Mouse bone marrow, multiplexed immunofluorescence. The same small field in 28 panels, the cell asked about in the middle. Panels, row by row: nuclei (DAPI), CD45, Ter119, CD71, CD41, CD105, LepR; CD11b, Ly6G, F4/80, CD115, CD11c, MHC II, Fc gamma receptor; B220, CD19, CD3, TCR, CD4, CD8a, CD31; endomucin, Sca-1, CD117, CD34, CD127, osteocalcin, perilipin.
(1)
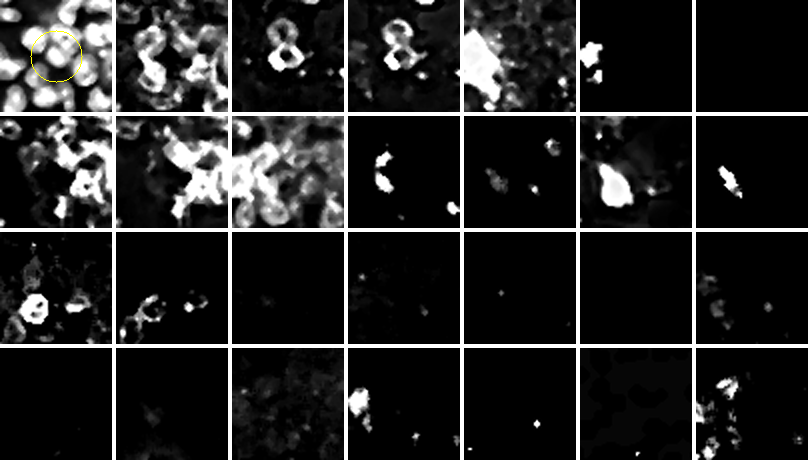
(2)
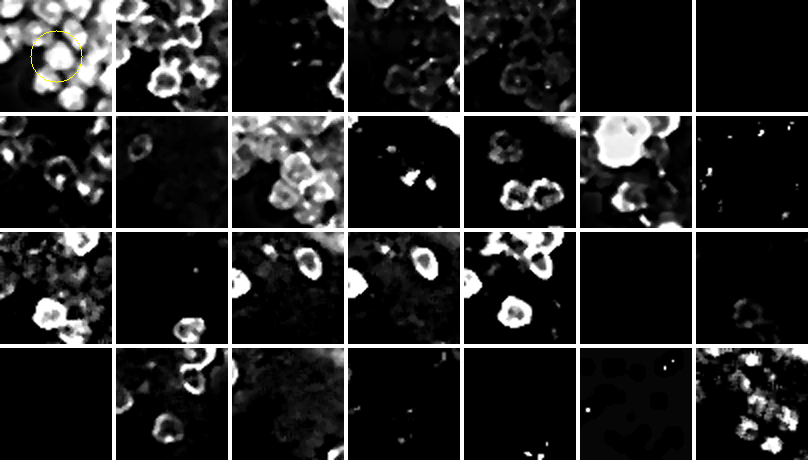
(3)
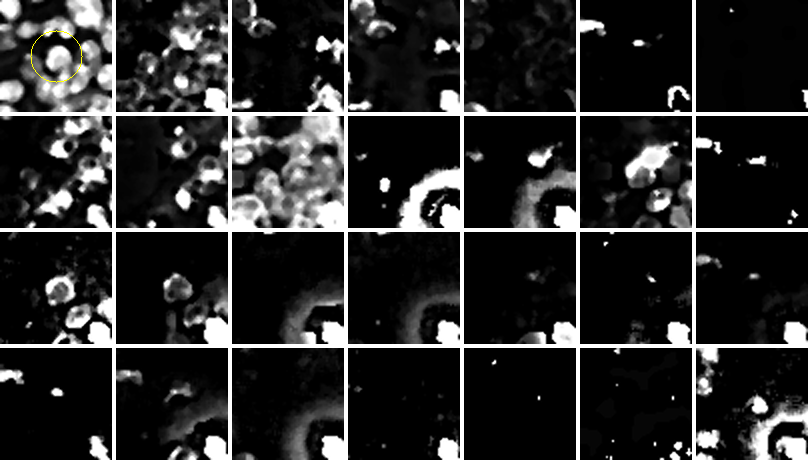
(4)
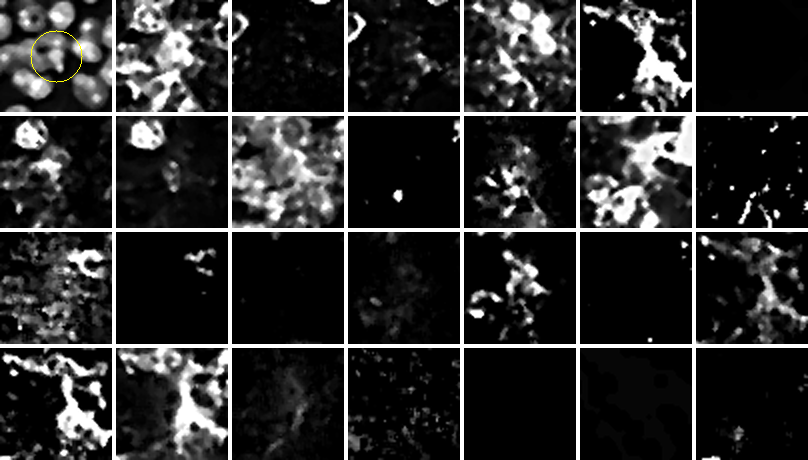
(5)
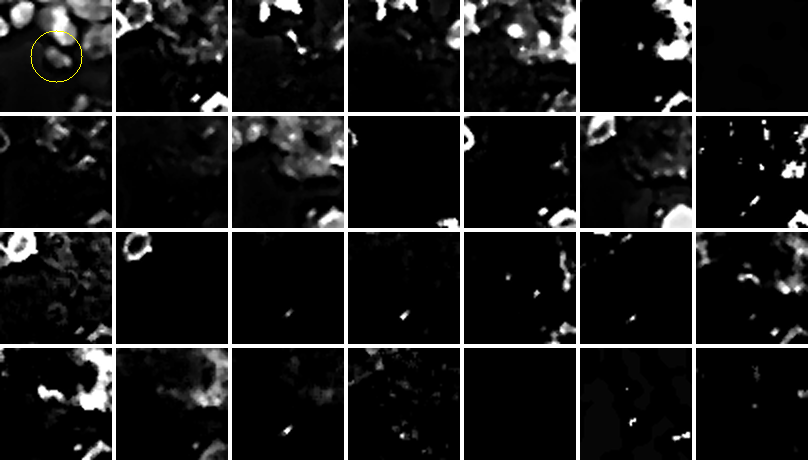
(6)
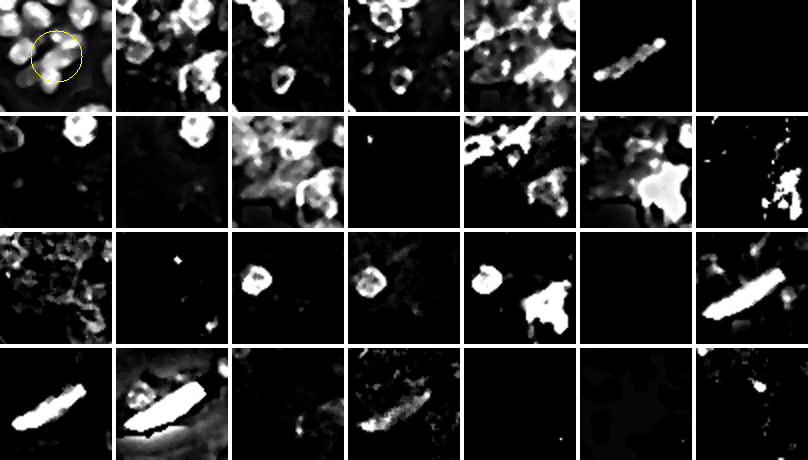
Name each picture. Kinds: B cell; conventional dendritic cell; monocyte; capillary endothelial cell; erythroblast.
(1) erythroblast
(2) monocyte
(3) B cell
(4) conventional dendritic cell
(5) capillary endothelial cell
(6) capillary endothelial cell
